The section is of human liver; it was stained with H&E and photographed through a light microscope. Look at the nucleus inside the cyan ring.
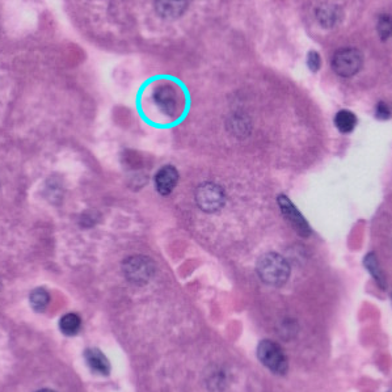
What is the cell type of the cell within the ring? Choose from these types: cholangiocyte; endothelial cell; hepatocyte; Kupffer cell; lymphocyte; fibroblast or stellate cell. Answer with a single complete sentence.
In cellular terms, the cell within the ring is an endothelial cell.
